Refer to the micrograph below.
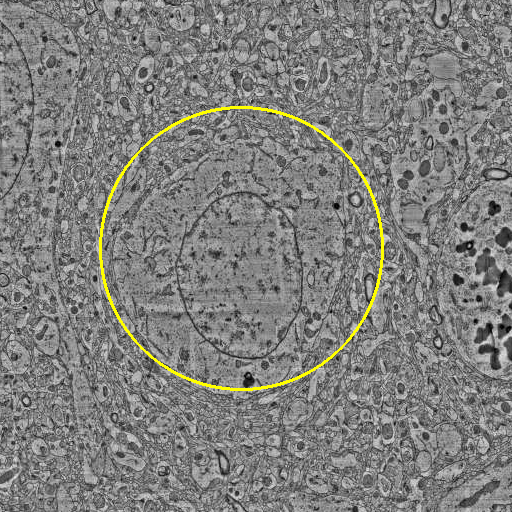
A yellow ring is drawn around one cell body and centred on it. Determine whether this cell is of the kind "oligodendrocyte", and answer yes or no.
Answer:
no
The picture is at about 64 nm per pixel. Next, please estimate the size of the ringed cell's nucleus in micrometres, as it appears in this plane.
In this plane, roughly 11 by 8 micrometres.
